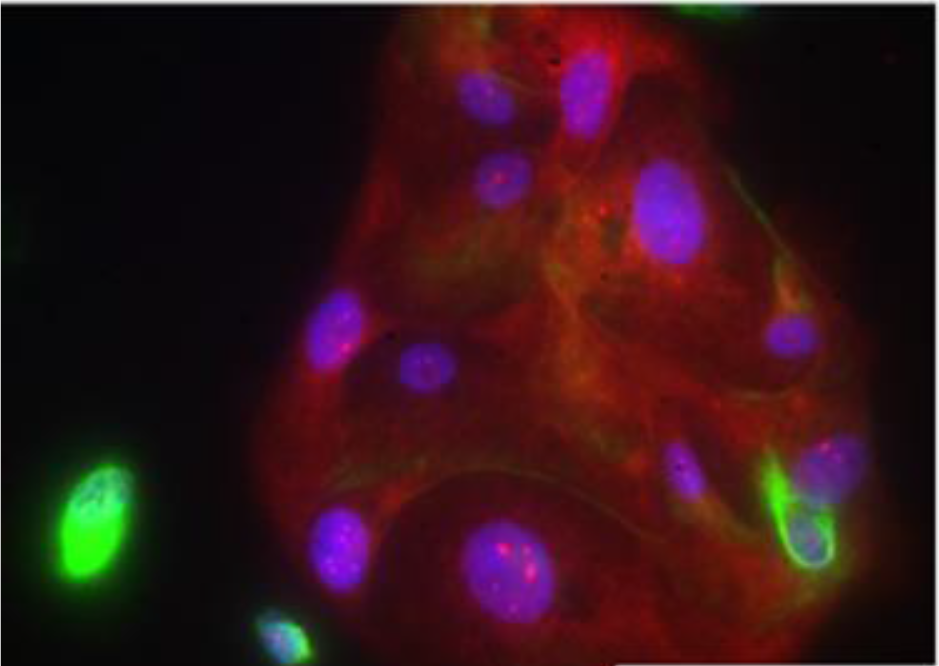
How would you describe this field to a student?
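The cells are broad and polygonal with indistinct borders, each holding a single round to oval blue nucleus, some with small bright dots inside. Outside the sheet, at the lower left, lie a couple of separate cells stained bright green, and one small green-outlined cell sits at the right edge of the cluster.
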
